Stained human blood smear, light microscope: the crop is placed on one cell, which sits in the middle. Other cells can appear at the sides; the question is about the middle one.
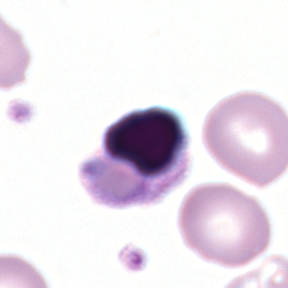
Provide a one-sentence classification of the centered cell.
The cell under consideration, at the middle of the crop, is an erythroblast.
